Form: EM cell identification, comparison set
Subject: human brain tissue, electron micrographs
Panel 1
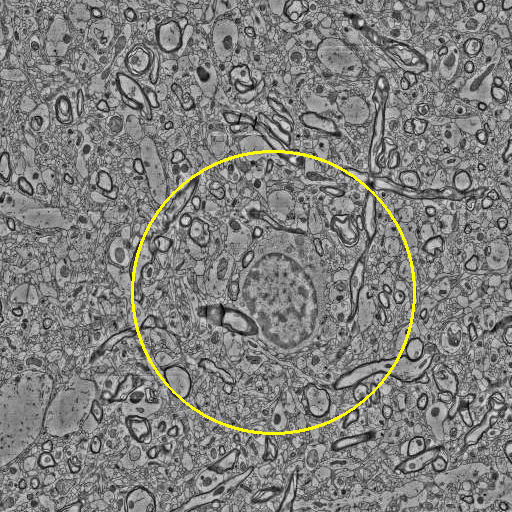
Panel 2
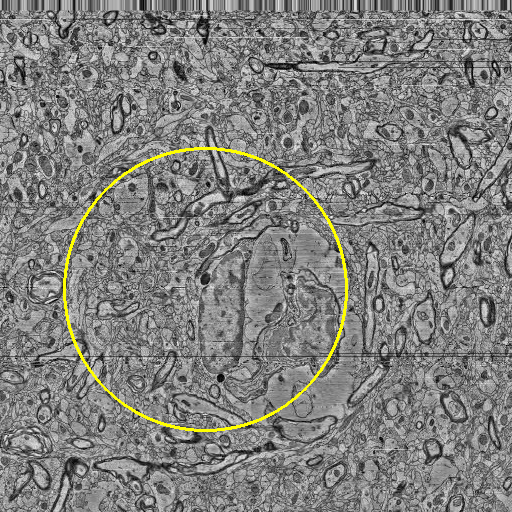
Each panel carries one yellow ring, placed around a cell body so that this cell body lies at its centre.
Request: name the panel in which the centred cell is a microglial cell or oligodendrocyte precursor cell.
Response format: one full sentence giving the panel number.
Panel 2 has it at the centre of its ring.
